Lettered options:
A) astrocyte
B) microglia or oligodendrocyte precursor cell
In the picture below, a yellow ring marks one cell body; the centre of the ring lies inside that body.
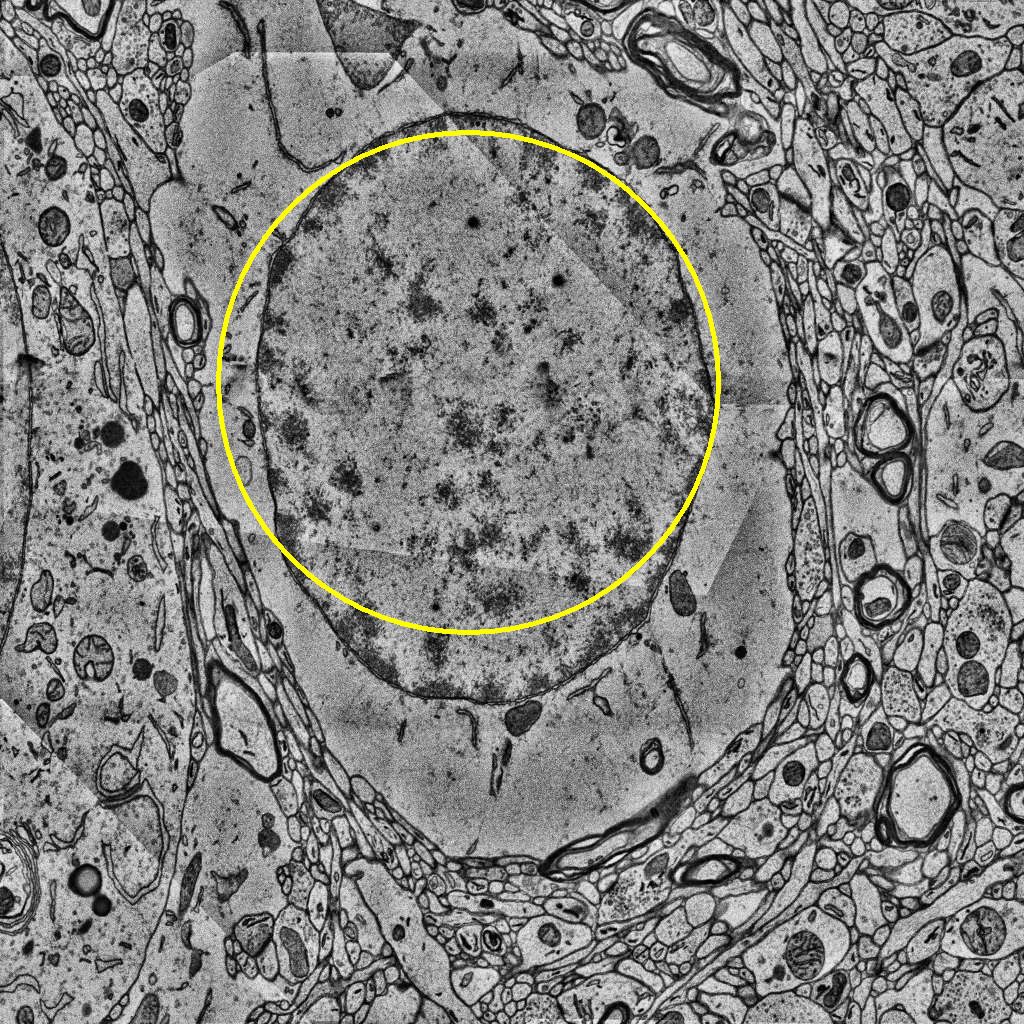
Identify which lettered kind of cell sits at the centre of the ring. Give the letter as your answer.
A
